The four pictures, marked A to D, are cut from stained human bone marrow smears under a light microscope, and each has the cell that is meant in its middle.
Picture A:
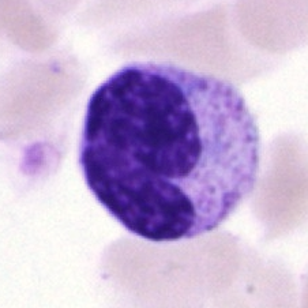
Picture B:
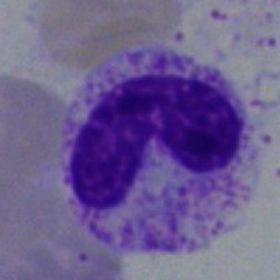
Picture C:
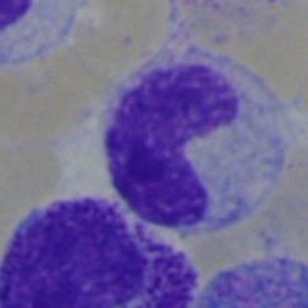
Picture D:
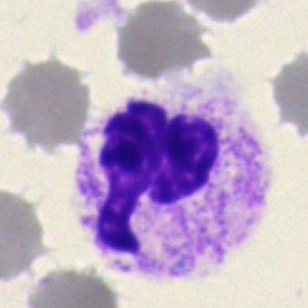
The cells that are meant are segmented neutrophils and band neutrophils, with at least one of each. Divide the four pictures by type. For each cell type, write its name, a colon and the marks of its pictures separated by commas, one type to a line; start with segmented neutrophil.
segmented neutrophil: D
band neutrophil: A, B, C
